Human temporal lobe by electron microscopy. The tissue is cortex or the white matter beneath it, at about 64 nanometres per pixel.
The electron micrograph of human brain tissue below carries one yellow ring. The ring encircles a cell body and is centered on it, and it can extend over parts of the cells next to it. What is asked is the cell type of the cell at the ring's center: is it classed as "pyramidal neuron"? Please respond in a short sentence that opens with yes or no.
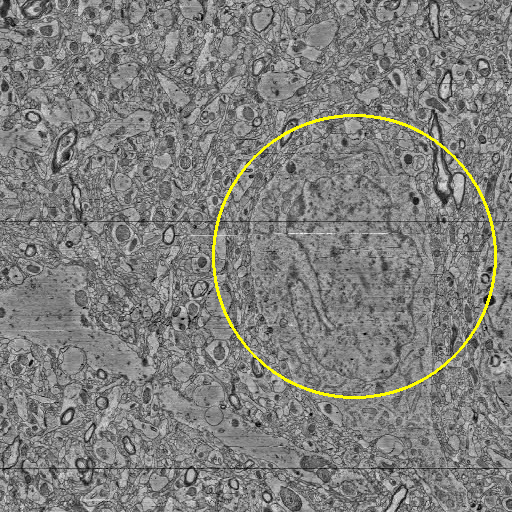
No, it is classed otherwise.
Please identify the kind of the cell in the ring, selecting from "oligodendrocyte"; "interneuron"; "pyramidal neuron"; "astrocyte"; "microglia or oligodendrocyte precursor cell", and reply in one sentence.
The cell enclosed by the ring is an interneuron.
